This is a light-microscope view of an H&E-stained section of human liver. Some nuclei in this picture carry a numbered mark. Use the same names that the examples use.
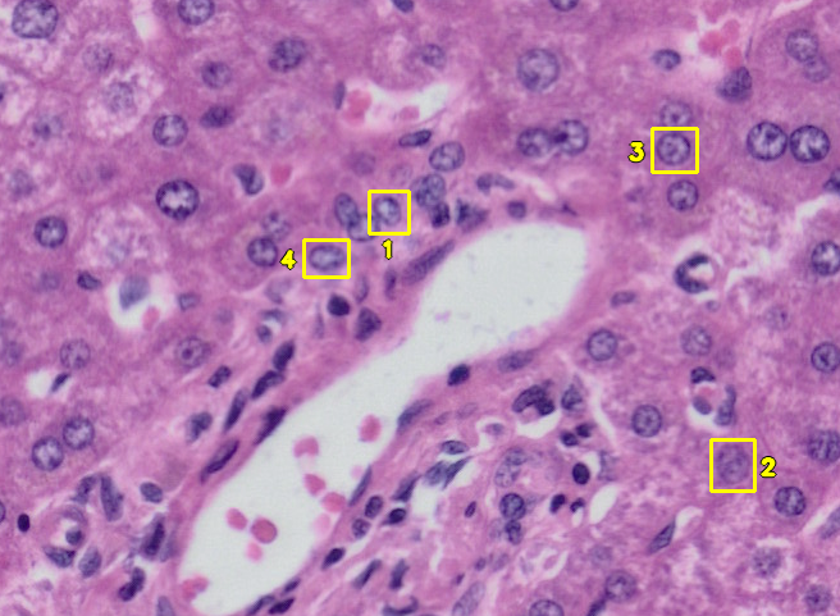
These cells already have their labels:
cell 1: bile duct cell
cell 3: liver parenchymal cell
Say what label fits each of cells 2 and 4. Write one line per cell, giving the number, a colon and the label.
2: liver parenchymal cell
4: bile duct cell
